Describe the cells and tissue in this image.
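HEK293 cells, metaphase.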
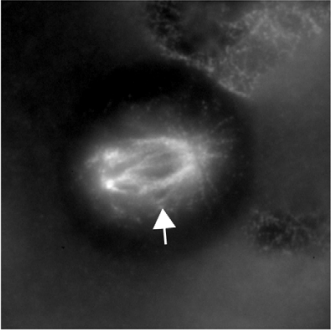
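A rounded dividing cell shows a bright barrel-shaped mitotic spindle in its centre, its fibres running between two opposite poles. Around the spindle the rounded cell body is dim, while the flat neighbouring cells show a fainter network of microtubules.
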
